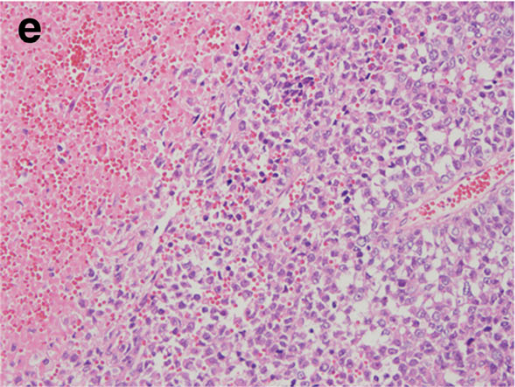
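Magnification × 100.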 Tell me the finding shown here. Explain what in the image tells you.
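The left part of the field is a pink-red area without intact tumour cells. Viable tumour cells lie to the right of it. So: necrosis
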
